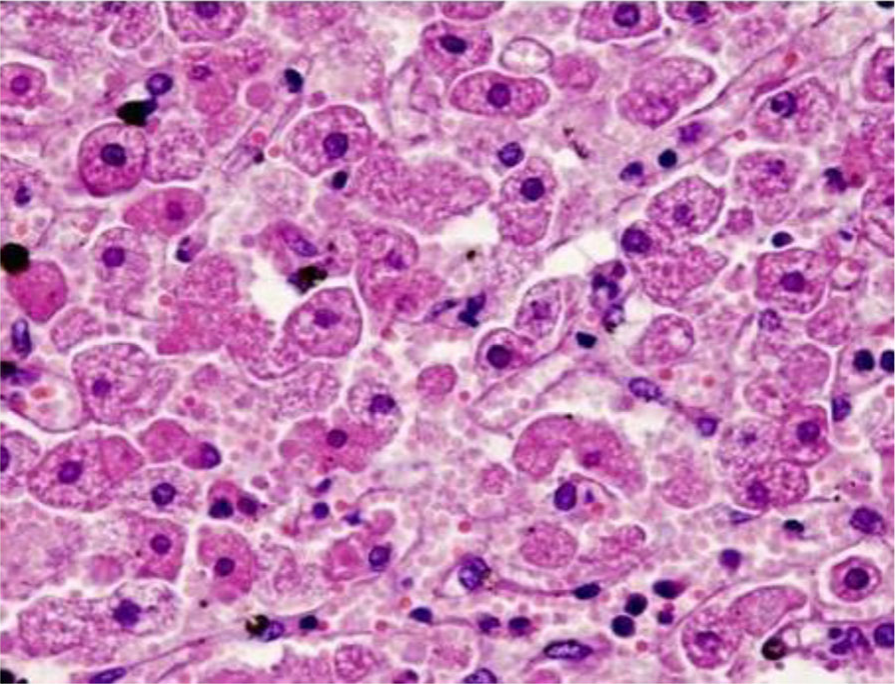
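This is liver in which the hepatocytes no longer sit in orderly plates but lie apart as single rounded and polygonal cells, with pale gaps and pink debris between them. Their abundant pink cytoplasm is finely stippled with many small clear vacuoles, and most keep a round nucleus with a distinct nucleolus, while small dark, shrunken nuclei are scattered among them. Here and there lie clumps of dark brown-black pigment.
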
